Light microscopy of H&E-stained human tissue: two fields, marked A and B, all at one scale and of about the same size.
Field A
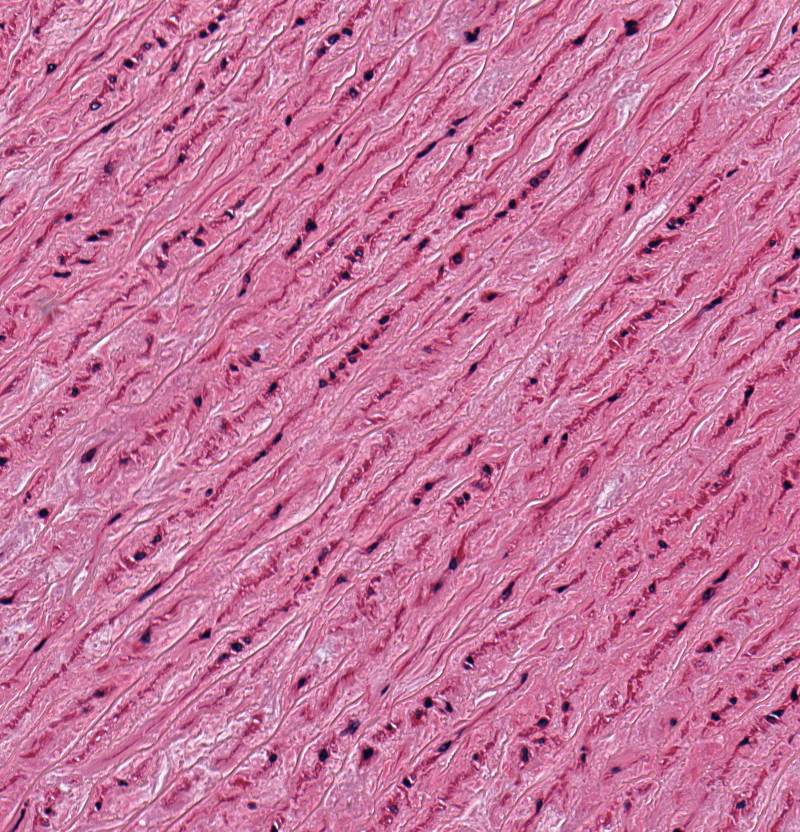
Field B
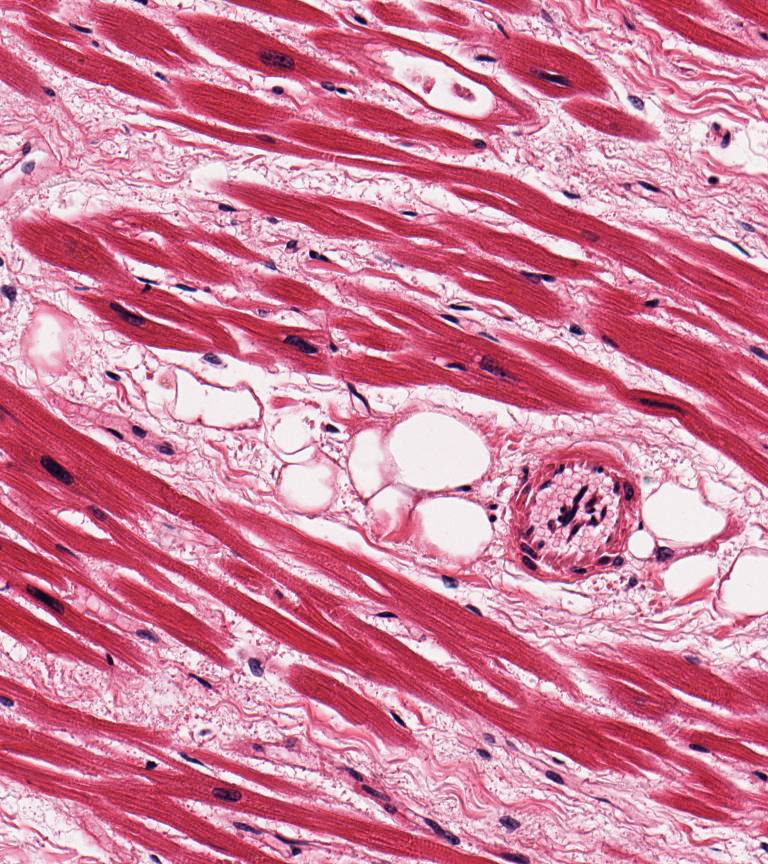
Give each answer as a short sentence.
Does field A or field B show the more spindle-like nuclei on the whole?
It is field B whose nuclei are the more elongated.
